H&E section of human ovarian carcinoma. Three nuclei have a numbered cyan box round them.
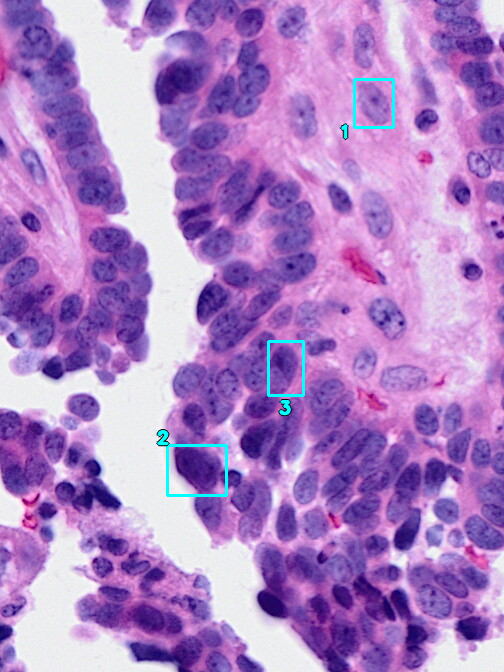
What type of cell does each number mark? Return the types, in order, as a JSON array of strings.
["fibroblast", "carcinoma cell", "carcinoma cell"]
